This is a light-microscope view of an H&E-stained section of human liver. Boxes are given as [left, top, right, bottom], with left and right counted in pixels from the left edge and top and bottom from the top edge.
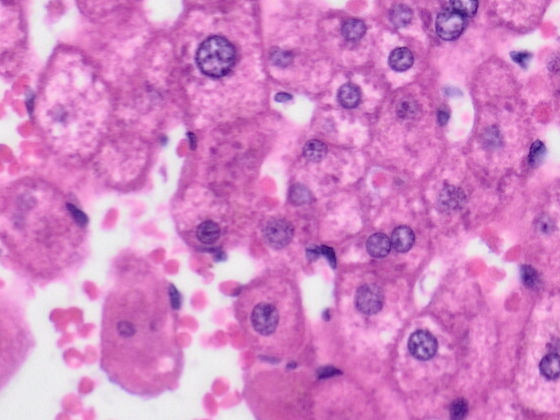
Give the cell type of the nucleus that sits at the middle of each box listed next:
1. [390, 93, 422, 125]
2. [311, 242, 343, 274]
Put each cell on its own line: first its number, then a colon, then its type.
1: hepatocyte
2: fibroblast or stellate cell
